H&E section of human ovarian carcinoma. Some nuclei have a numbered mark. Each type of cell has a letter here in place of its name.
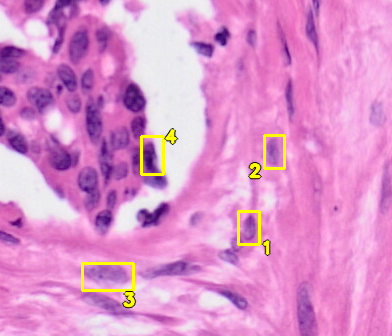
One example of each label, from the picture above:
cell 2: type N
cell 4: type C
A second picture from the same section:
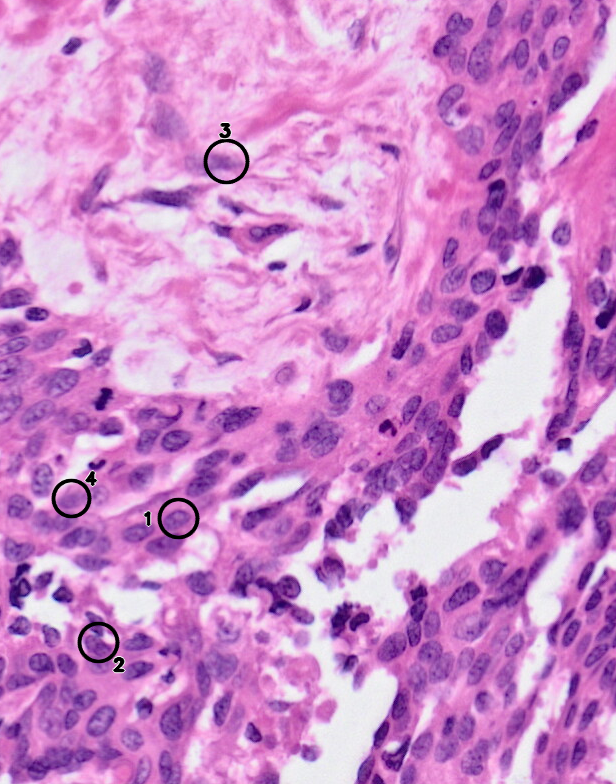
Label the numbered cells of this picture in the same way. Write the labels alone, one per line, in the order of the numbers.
type C
type C
type N
type C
